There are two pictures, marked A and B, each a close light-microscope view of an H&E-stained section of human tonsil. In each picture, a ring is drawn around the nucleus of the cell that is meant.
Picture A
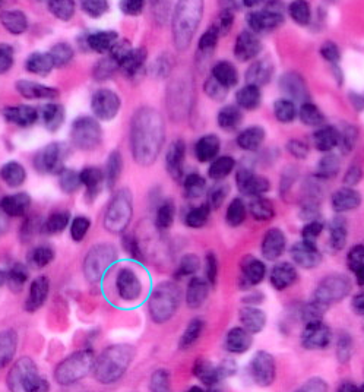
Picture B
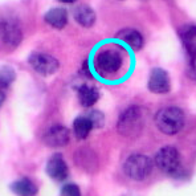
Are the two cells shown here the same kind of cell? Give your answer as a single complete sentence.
No, picture A shows an endothelial cell and picture B shows a plasma cell.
